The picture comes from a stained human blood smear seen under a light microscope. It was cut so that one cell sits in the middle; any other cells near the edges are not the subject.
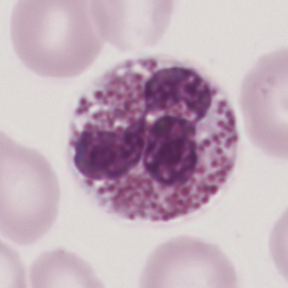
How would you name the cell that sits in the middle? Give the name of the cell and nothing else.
eosinophil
